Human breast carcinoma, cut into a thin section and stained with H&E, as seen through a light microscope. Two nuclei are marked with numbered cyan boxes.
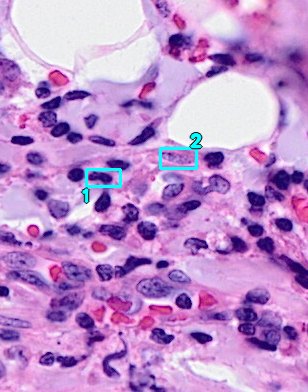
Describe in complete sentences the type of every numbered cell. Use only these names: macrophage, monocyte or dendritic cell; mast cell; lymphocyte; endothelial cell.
Cell 1 is a lymphocyte. Cell 2 is an endothelial cell.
